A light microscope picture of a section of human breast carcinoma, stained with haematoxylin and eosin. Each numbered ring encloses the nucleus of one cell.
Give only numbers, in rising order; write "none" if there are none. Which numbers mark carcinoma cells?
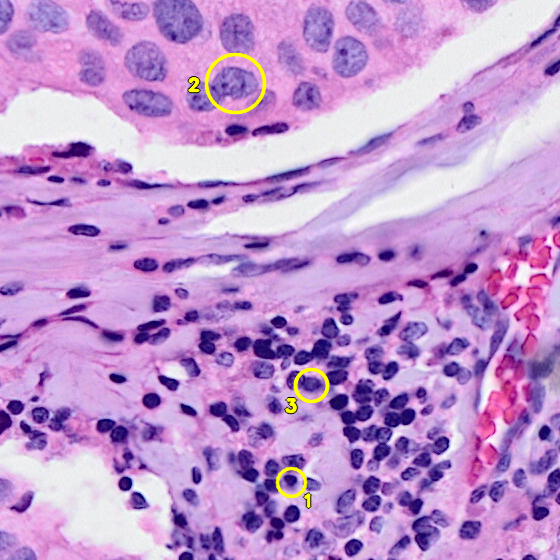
2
